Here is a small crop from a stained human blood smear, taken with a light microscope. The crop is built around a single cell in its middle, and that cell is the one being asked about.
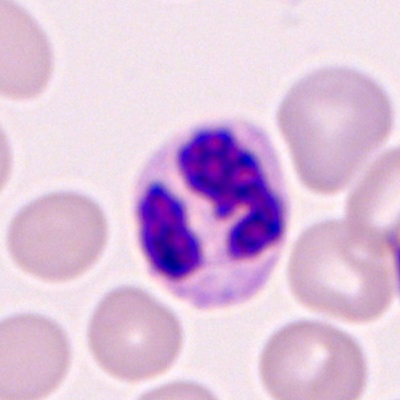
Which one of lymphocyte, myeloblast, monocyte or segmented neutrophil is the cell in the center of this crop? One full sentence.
The centrally placed cell is classified as a segmented neutrophil.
